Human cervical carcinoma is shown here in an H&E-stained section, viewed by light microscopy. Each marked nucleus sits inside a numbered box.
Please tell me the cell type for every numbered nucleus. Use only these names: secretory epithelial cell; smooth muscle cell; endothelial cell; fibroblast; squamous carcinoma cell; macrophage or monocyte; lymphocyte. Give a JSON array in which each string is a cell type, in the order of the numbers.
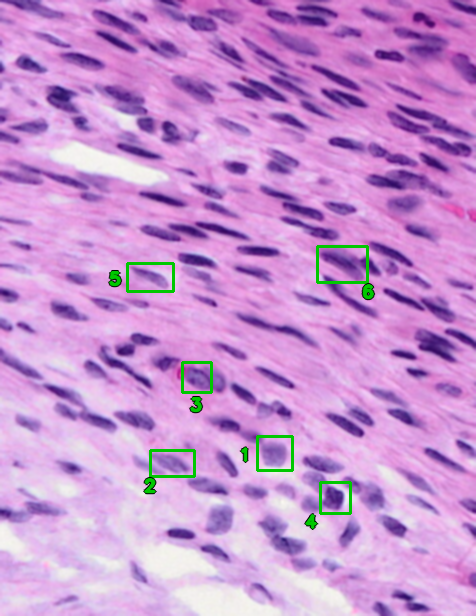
["fibroblast", "fibroblast", "endothelial cell", "lymphocyte", "fibroblast", "fibroblast"]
